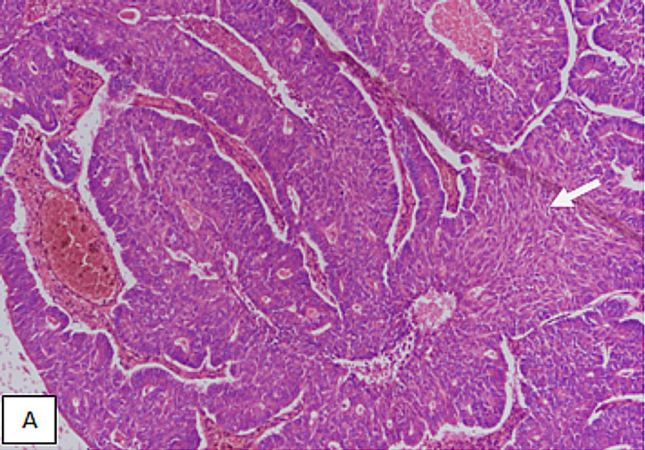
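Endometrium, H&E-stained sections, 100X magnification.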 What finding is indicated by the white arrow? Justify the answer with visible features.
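Focal solid area of growth. The arrow points to a sheet of tightly packed tumor cells without gland lumens. Elsewhere the tumor forms crowded glandular structures separated by thin stroma.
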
